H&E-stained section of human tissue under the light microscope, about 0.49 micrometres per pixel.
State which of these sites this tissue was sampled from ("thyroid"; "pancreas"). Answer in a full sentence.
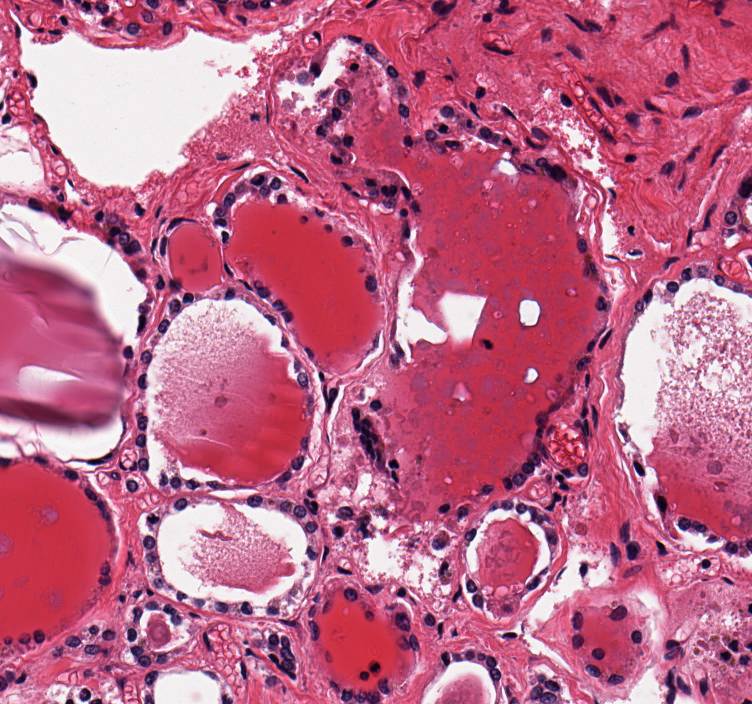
The site this tissue was sampled from is the thyroid.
